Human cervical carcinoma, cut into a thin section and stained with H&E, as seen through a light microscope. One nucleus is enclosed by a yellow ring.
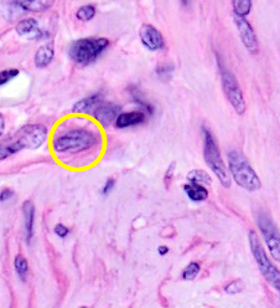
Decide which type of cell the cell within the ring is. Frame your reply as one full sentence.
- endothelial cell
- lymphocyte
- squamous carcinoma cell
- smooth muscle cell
Histopathologically, the cell within the ring is an endothelial cell.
